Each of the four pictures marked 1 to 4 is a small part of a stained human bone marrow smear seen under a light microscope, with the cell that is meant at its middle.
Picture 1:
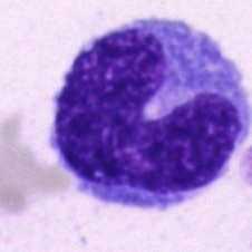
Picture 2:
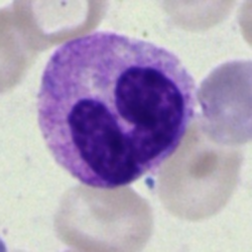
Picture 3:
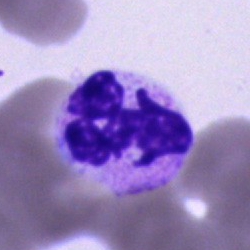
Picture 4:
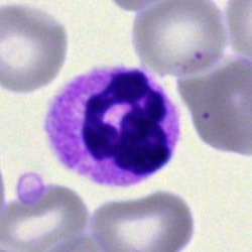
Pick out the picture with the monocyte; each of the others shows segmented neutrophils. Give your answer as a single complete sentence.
Picture 1 is the one that shows the monocyte.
